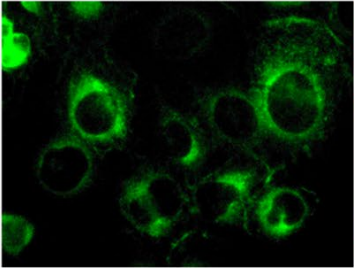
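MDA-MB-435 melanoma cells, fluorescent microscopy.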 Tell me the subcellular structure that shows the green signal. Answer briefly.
endoplasmic reticulum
